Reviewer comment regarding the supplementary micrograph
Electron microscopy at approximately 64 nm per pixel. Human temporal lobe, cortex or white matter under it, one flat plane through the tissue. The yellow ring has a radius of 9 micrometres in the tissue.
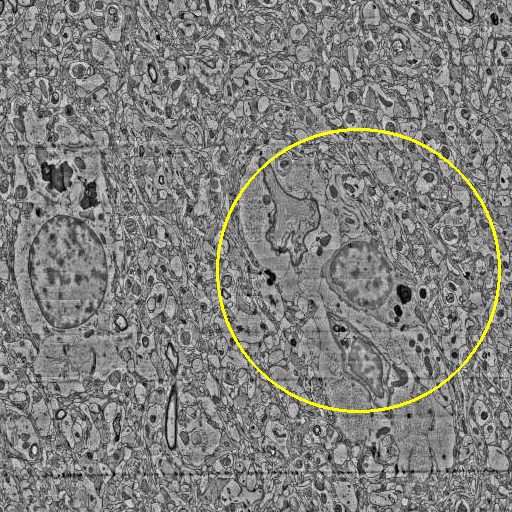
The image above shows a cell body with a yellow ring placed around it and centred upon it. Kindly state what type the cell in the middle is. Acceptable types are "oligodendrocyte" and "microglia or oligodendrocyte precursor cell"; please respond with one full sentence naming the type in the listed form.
In the image above, the cell on which the yellow ring is centred is an oligodendrocyte.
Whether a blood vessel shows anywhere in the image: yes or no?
Yes, one is visible.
